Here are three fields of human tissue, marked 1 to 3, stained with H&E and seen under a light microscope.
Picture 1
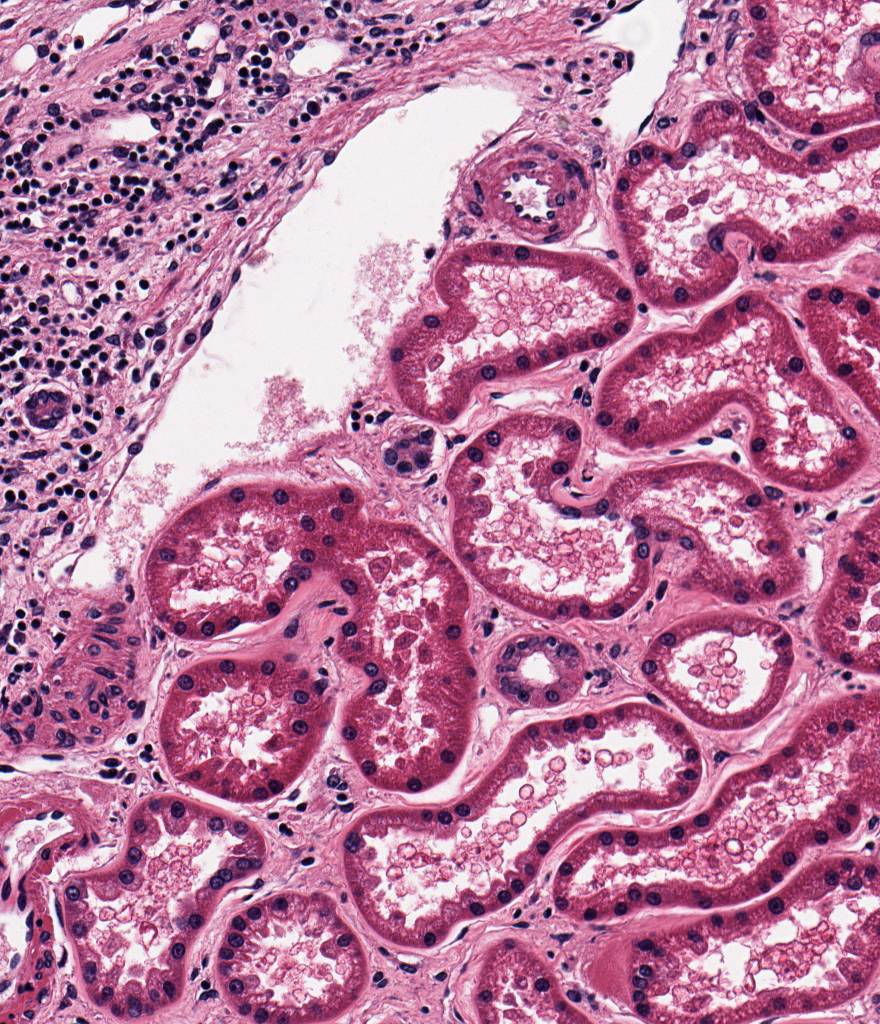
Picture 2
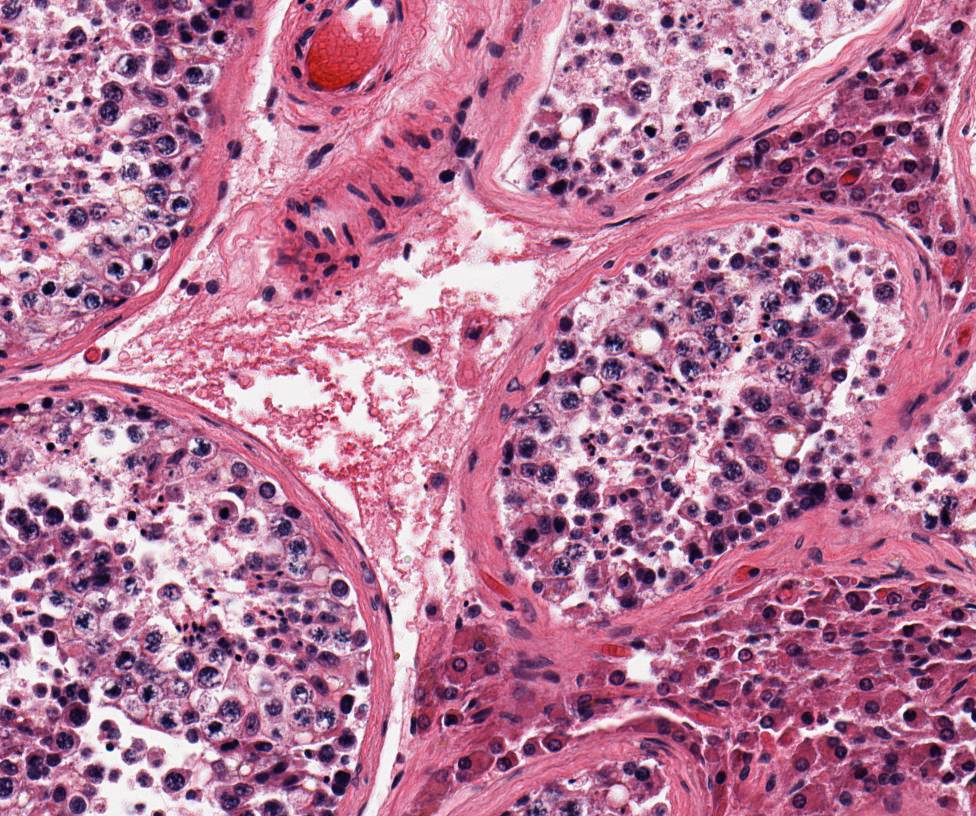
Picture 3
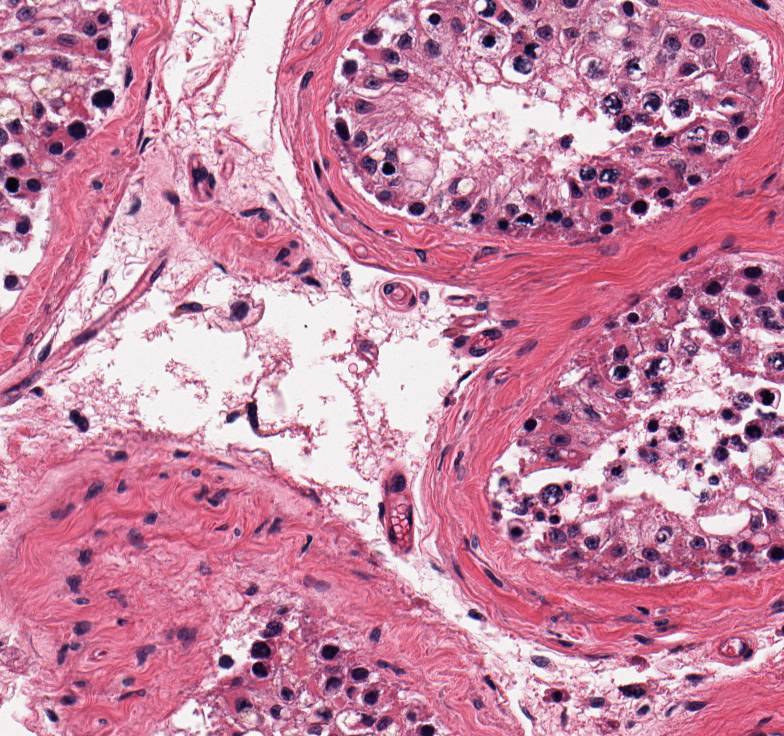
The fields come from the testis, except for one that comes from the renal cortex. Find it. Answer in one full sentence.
It is picture 1 that comes from the renal cortex.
